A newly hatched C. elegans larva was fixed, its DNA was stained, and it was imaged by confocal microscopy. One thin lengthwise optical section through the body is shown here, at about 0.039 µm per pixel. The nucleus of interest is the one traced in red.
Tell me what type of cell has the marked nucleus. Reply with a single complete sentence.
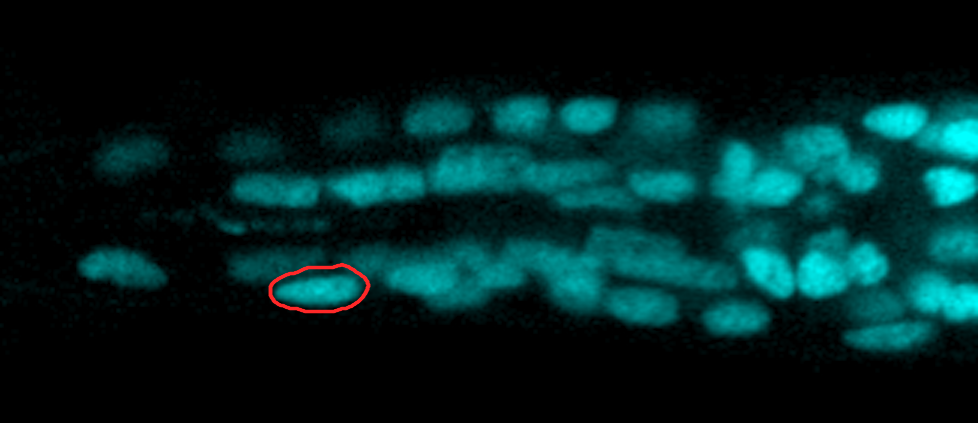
The marked nucleus is that of a hypodermal cell (hyp).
